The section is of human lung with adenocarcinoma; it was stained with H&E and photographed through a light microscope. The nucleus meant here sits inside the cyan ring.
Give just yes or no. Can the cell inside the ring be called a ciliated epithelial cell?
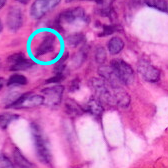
yes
